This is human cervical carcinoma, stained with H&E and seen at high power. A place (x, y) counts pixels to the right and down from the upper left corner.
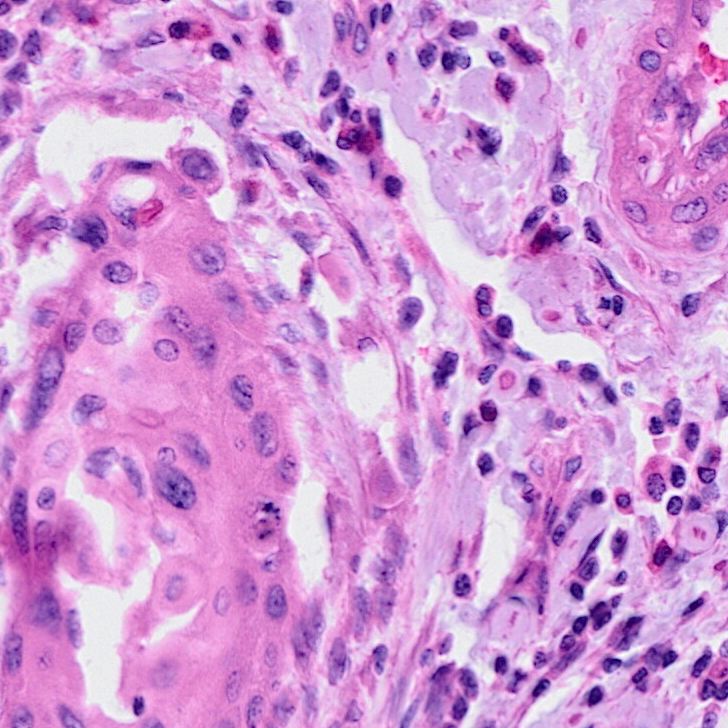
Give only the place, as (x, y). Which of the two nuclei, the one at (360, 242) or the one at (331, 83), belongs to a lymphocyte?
(331, 83)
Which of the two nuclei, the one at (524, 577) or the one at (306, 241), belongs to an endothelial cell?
(524, 577)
